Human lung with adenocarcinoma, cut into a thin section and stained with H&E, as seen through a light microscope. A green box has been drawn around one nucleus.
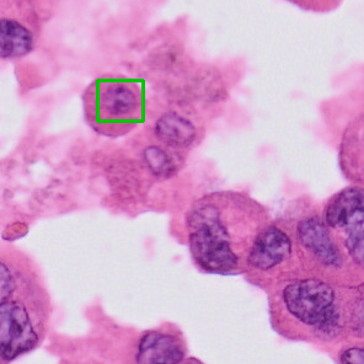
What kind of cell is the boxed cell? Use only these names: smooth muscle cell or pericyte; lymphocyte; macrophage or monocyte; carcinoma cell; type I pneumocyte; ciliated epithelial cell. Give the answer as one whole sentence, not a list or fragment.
In the stained section, the boxed cell is a macrophage or monocyte.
